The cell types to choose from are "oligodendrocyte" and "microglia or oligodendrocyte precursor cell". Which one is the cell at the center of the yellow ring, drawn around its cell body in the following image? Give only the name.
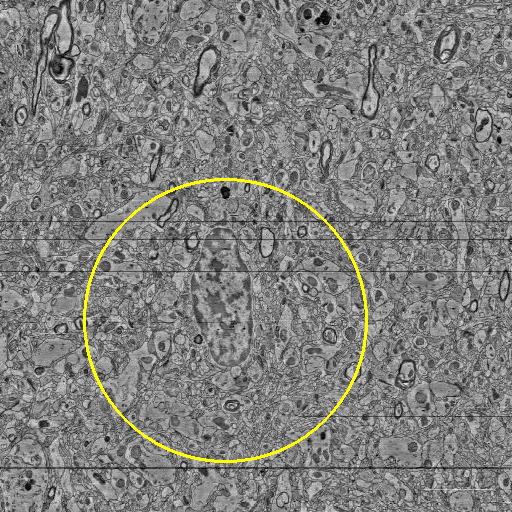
microglia or oligodendrocyte precursor cell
